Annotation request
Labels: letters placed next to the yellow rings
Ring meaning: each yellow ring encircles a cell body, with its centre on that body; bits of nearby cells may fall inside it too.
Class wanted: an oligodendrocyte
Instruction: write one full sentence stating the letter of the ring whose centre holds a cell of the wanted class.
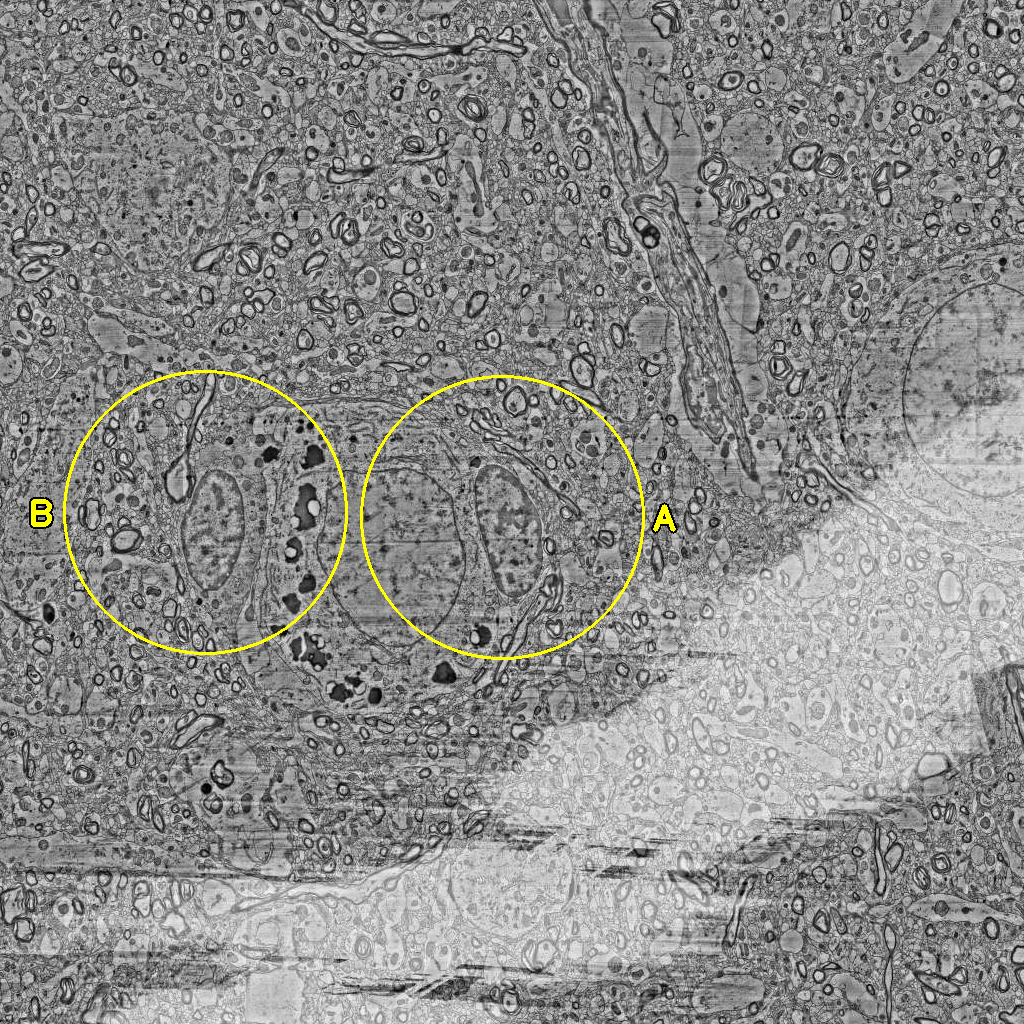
For this annotation, a cell of that kind sits at the centre of ring B.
